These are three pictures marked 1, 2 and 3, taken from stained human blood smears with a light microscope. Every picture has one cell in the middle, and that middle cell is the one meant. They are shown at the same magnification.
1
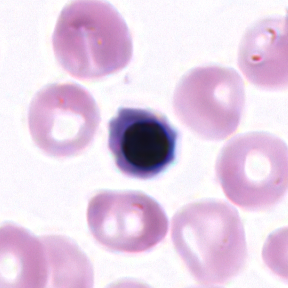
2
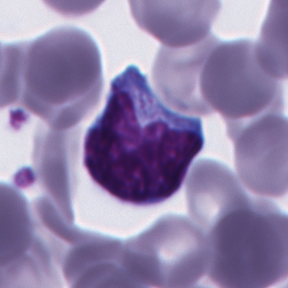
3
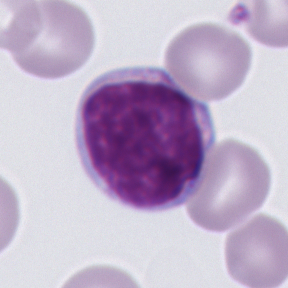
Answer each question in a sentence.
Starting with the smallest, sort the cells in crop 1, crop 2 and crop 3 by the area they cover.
The order is 1, 2, 3, beginning with the smallest.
